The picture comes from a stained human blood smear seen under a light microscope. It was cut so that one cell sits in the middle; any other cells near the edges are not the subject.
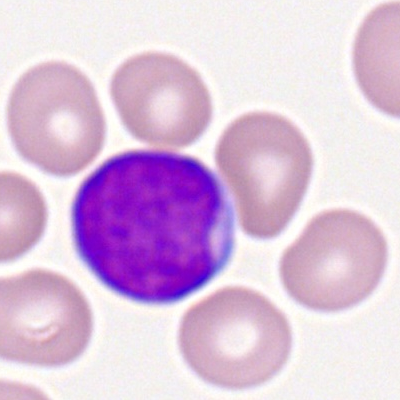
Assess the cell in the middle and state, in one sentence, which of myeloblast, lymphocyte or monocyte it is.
The cell at the middle of the frame should be recorded as a myeloblast.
